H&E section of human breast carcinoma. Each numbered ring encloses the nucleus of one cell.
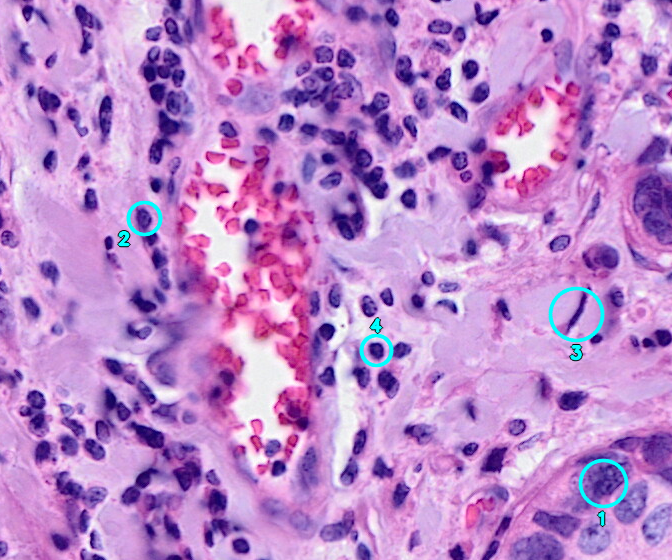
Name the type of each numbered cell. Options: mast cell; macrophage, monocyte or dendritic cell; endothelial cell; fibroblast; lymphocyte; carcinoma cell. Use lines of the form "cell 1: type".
cell 1: carcinoma cell
cell 2: lymphocyte
cell 3: fibroblast
cell 4: lymphocyte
